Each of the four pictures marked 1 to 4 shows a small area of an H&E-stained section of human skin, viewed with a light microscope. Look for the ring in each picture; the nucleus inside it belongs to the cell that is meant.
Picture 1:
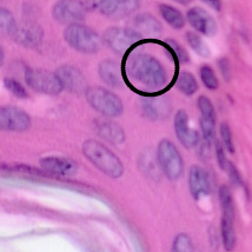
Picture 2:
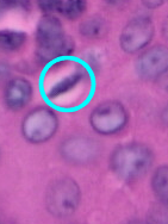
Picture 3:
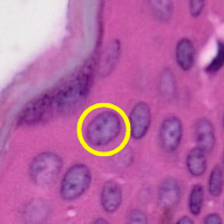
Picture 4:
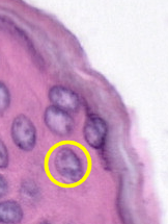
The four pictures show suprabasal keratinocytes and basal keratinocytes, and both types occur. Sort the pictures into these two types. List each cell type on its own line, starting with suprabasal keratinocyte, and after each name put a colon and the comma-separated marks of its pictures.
suprabasal keratinocyte: 3, 4
basal keratinocyte: 1, 2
